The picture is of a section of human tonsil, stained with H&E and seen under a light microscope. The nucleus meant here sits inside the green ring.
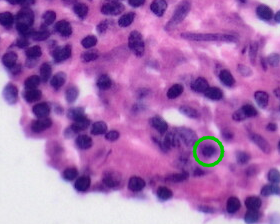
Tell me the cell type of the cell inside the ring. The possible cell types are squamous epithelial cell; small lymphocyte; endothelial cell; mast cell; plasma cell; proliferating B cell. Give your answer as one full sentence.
The cell inside the ring appears to be a plasma cell.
